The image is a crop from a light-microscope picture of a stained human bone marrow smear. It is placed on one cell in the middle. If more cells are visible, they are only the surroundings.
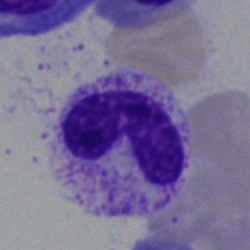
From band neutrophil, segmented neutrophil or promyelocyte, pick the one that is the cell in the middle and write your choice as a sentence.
The middle of this crop is occupied by a band neutrophil.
